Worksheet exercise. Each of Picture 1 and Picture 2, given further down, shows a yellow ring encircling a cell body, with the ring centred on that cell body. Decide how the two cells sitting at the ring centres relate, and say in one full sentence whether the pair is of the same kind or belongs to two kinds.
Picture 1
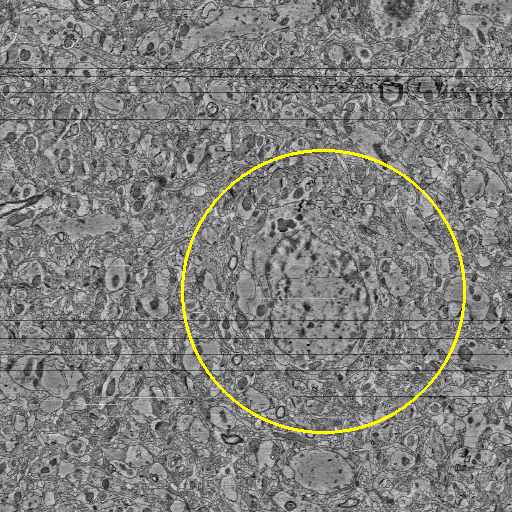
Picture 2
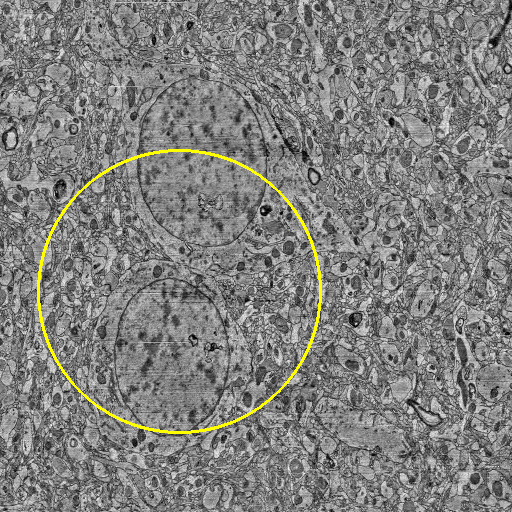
The cells at the ring centres in Picture 1 and Picture 2 belong to two kinds.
